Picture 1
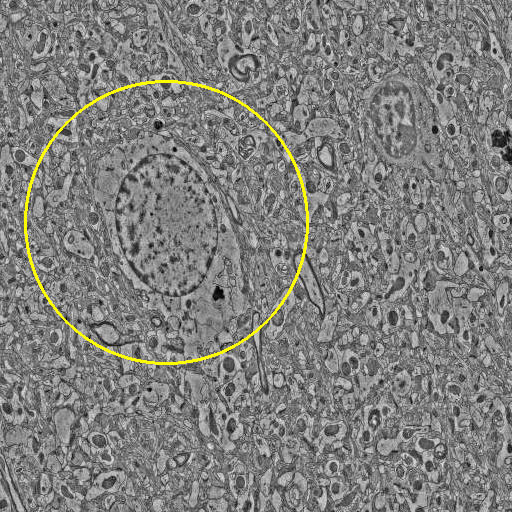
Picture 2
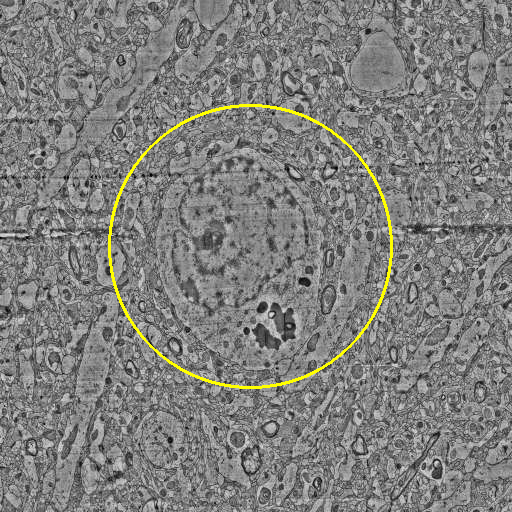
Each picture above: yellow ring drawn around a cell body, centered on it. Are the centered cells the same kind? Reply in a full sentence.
No, the two cells are two kinds of cell.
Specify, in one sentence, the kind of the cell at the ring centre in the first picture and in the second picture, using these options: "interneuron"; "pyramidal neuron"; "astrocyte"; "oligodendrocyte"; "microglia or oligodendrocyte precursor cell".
So the first is an astrocyte, the second an interneuron.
